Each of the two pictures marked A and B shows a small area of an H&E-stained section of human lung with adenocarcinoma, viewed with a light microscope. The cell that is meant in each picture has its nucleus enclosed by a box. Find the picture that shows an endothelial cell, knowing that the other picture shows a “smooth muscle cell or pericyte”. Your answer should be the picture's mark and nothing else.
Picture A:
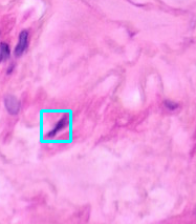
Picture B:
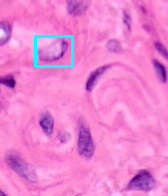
B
